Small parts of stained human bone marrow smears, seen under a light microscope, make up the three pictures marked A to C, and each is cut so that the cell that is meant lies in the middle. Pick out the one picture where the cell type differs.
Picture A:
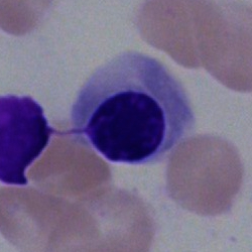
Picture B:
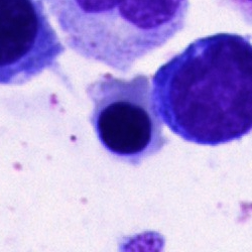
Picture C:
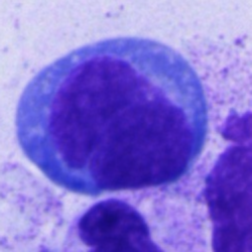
C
